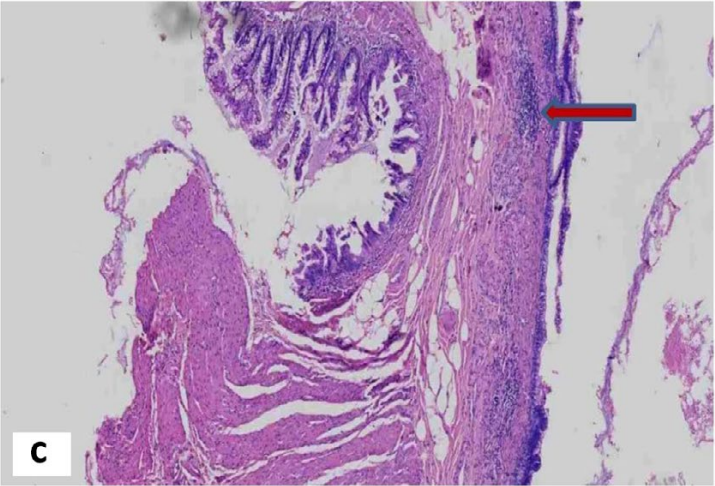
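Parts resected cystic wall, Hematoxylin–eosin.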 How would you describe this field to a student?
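This is a piece of intestinal tissue, with a mucosa of closely packed glands lined by tall columnar cells with dark basal nuclei at the top. Beneath it lie loose connective tissue, a few fat cells and bundles of pink smooth muscle. Along the right side runs a dense band of small, darkly stained round cells forming a lymphoid nodule.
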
